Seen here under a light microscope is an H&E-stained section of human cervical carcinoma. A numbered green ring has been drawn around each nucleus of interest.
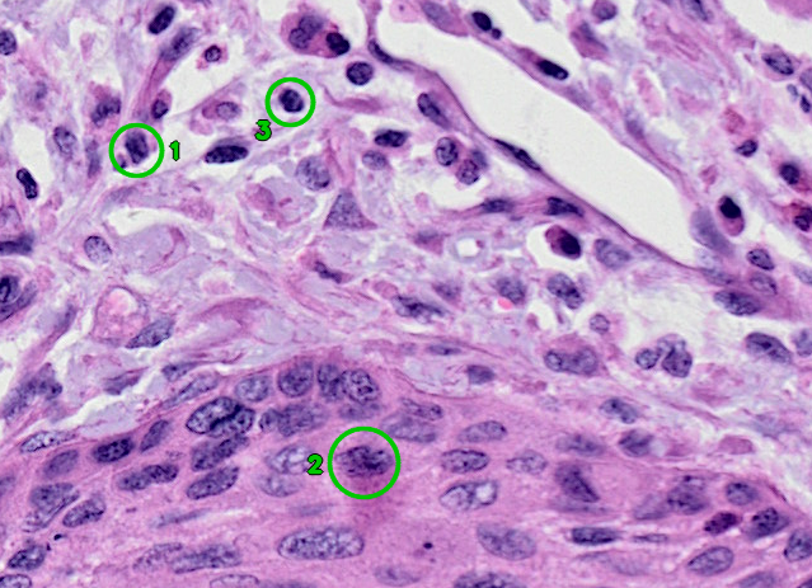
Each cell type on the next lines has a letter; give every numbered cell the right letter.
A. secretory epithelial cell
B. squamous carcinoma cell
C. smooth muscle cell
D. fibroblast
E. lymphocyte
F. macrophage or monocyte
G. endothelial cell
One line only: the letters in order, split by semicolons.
E; B; E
